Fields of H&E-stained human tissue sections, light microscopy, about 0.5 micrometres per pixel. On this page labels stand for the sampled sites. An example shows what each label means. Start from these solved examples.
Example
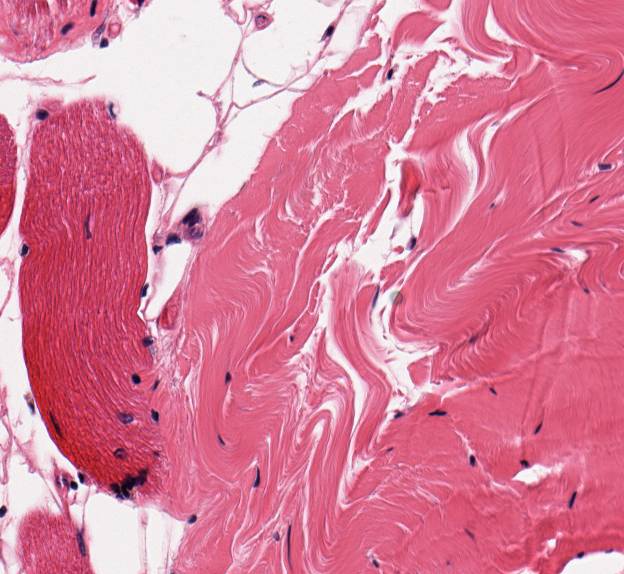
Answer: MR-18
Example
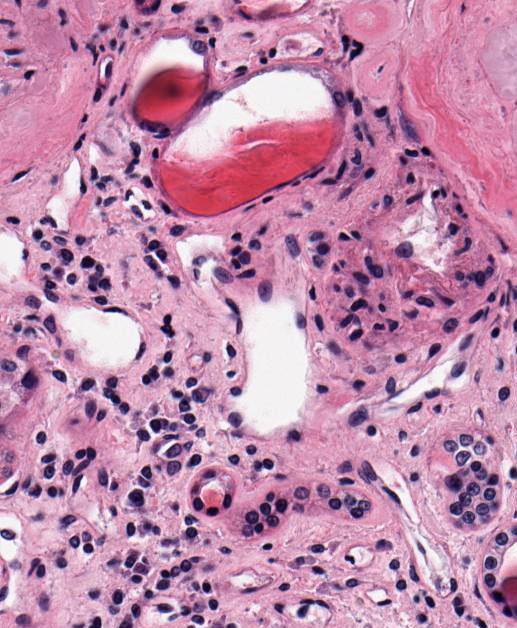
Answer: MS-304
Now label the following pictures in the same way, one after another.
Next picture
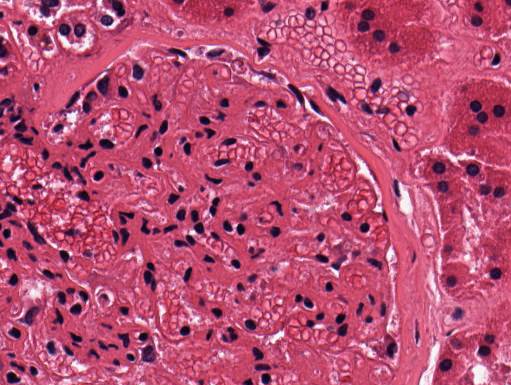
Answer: MS-304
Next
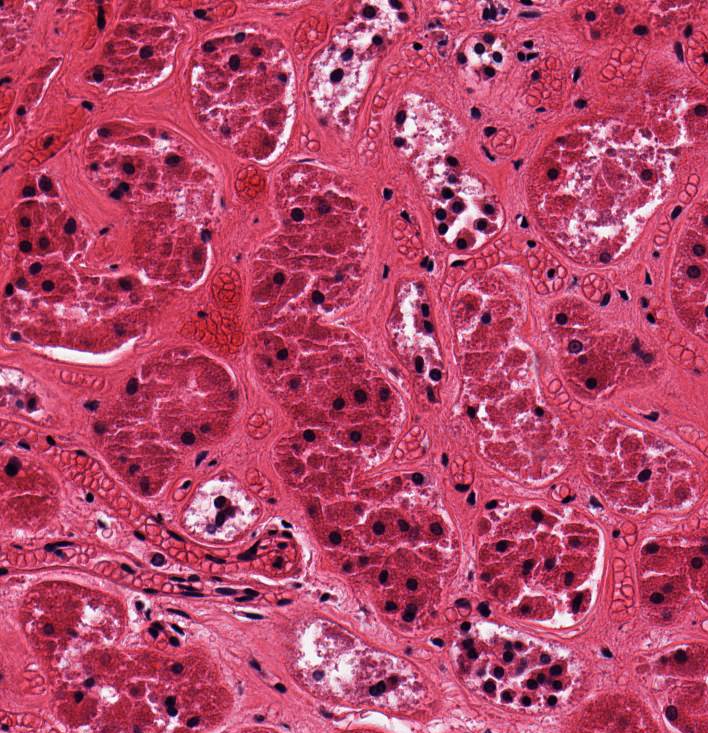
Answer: MS-304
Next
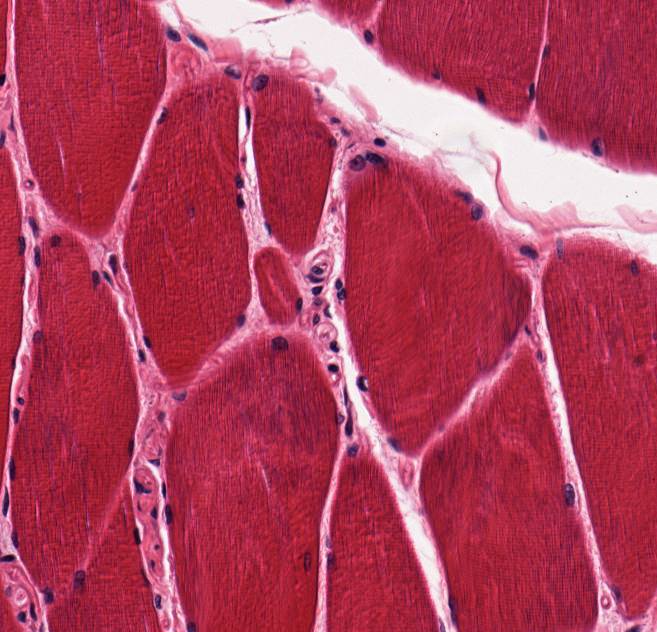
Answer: MR-18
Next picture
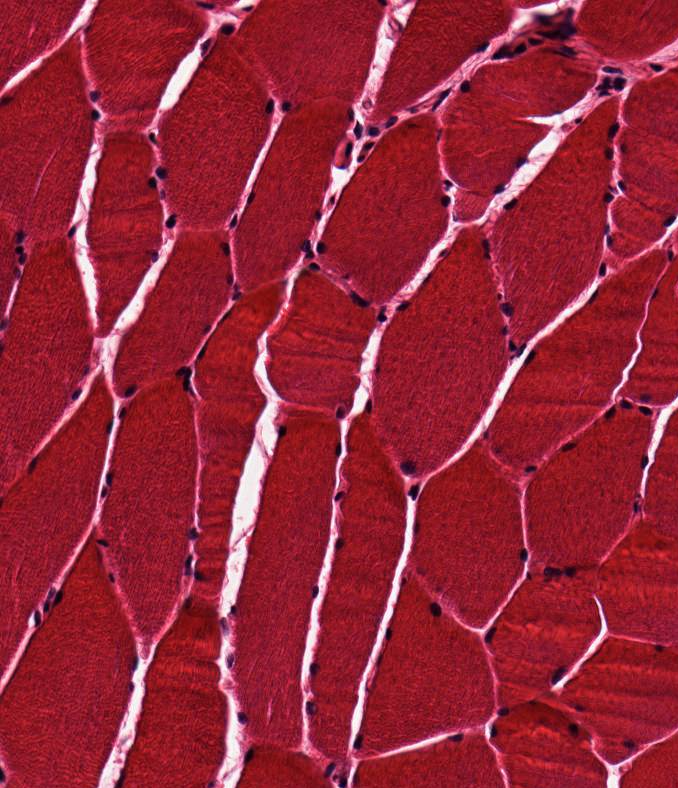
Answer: MR-18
